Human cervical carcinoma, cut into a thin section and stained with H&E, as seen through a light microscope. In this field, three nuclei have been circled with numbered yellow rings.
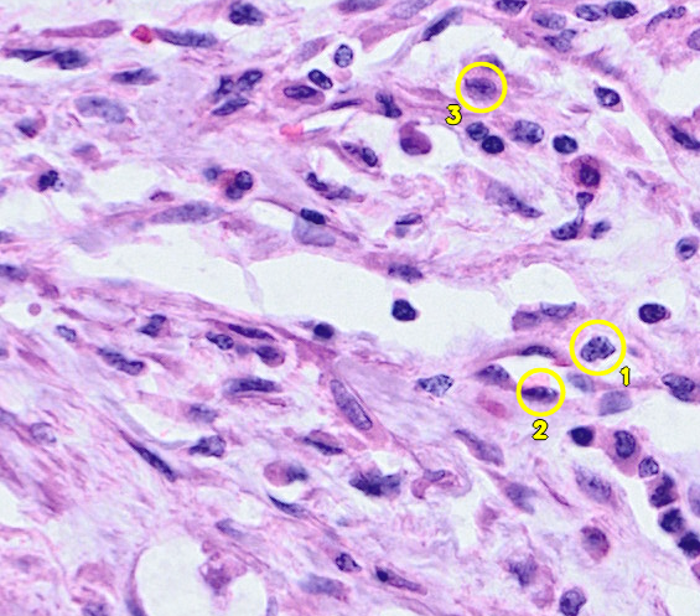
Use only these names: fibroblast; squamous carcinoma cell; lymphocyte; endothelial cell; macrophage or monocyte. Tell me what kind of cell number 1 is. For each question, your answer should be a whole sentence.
Cell 1 of the marked set is a lymphocyte.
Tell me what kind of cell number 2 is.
The cell marked with the number 2 is an endothelial cell.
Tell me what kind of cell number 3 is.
The cell bearing label 3 corresponds to a macrophage or monocyte.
